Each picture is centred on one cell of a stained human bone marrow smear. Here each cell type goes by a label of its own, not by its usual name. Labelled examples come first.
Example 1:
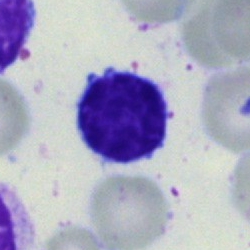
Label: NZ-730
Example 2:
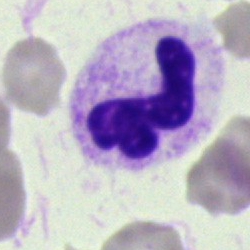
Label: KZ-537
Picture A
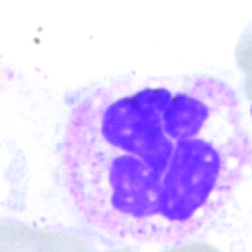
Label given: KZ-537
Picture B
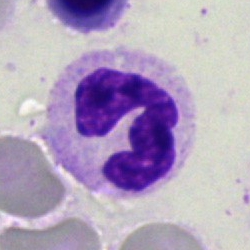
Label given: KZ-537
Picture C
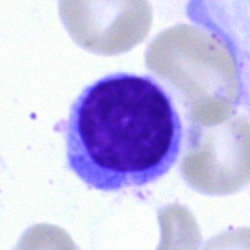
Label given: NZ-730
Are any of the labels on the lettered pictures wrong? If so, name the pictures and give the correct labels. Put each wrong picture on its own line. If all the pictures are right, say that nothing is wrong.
All correct.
